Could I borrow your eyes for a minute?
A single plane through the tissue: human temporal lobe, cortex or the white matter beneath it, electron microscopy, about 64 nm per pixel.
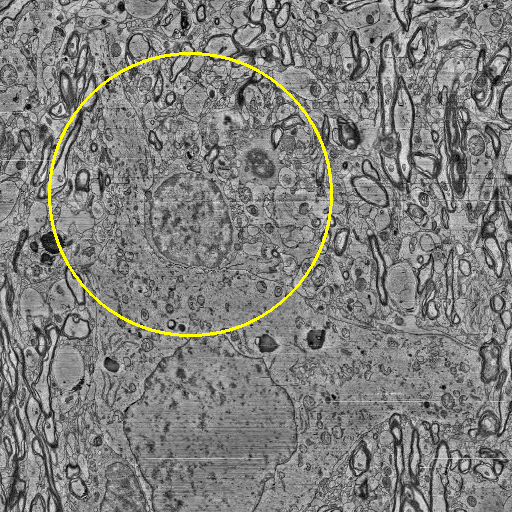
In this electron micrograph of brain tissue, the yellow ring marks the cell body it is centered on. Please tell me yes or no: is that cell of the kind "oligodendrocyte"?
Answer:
yes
